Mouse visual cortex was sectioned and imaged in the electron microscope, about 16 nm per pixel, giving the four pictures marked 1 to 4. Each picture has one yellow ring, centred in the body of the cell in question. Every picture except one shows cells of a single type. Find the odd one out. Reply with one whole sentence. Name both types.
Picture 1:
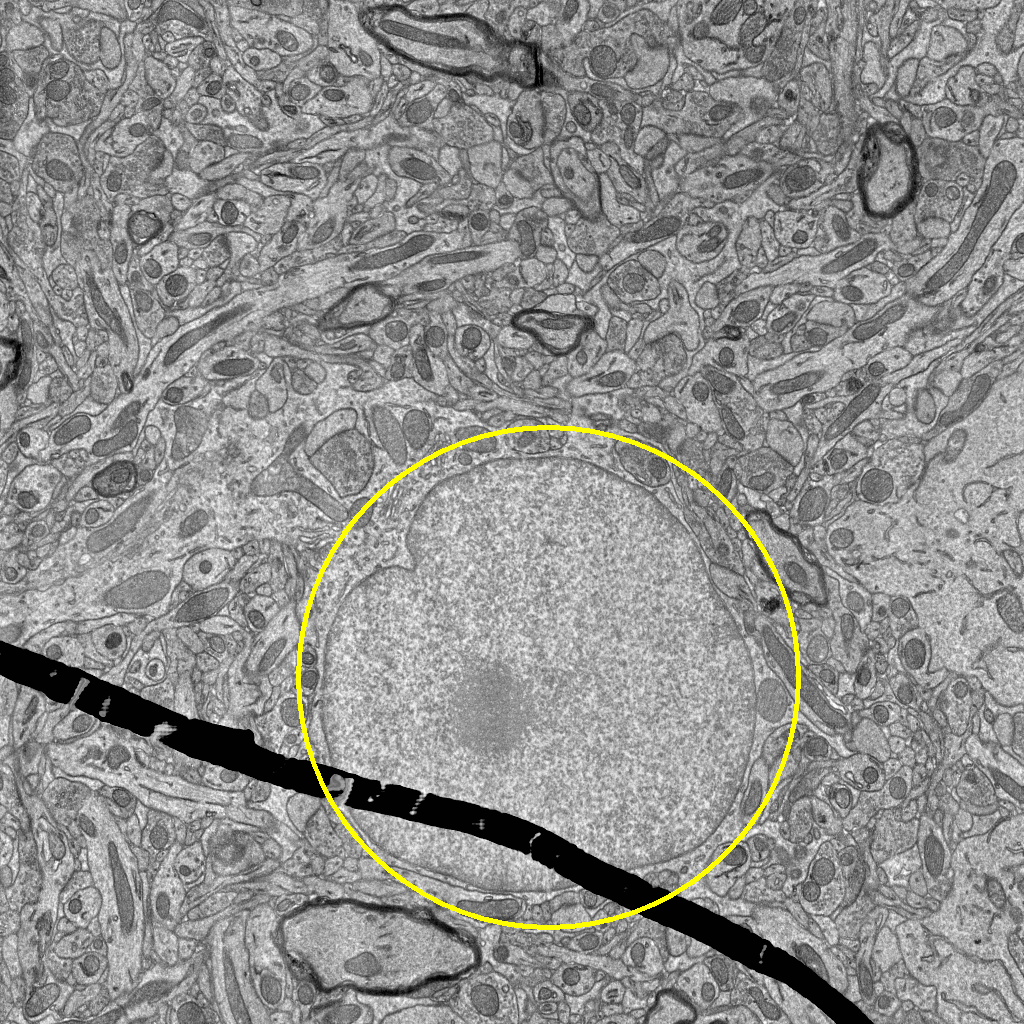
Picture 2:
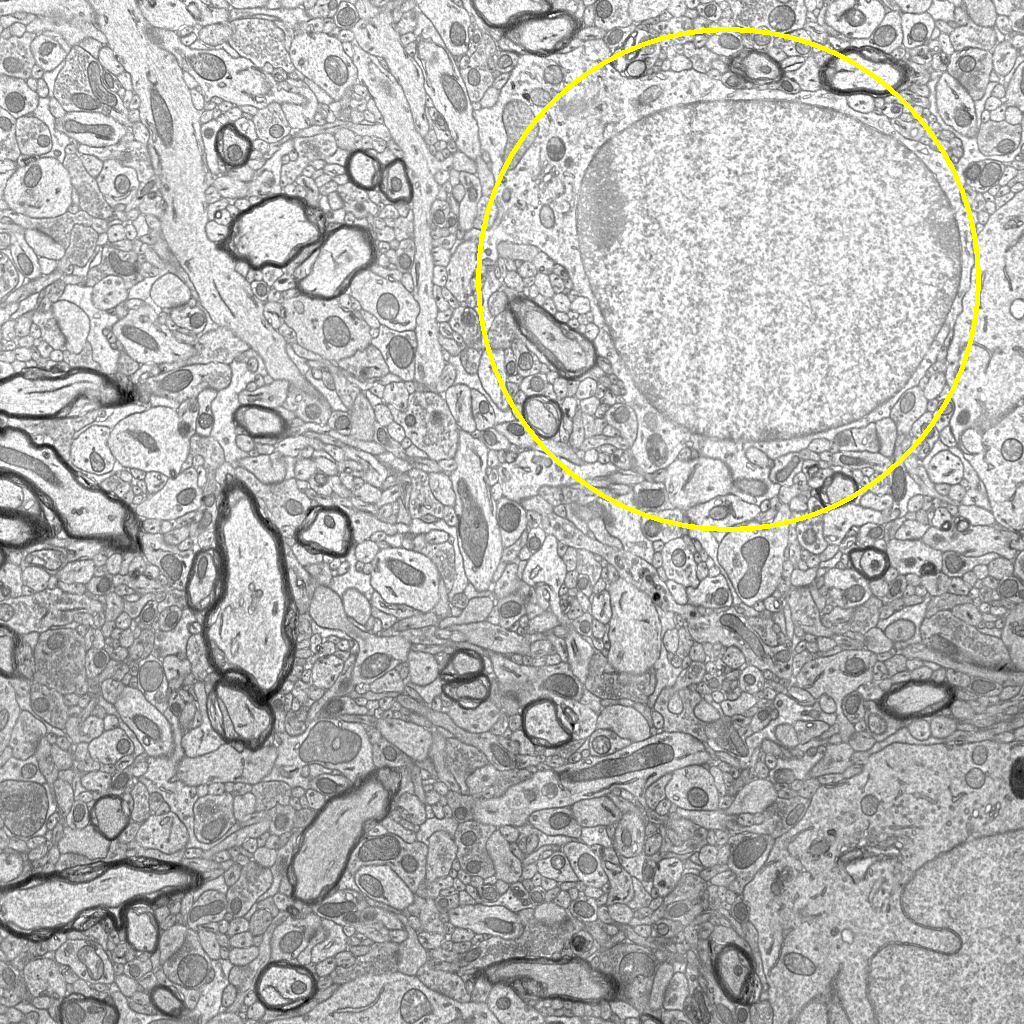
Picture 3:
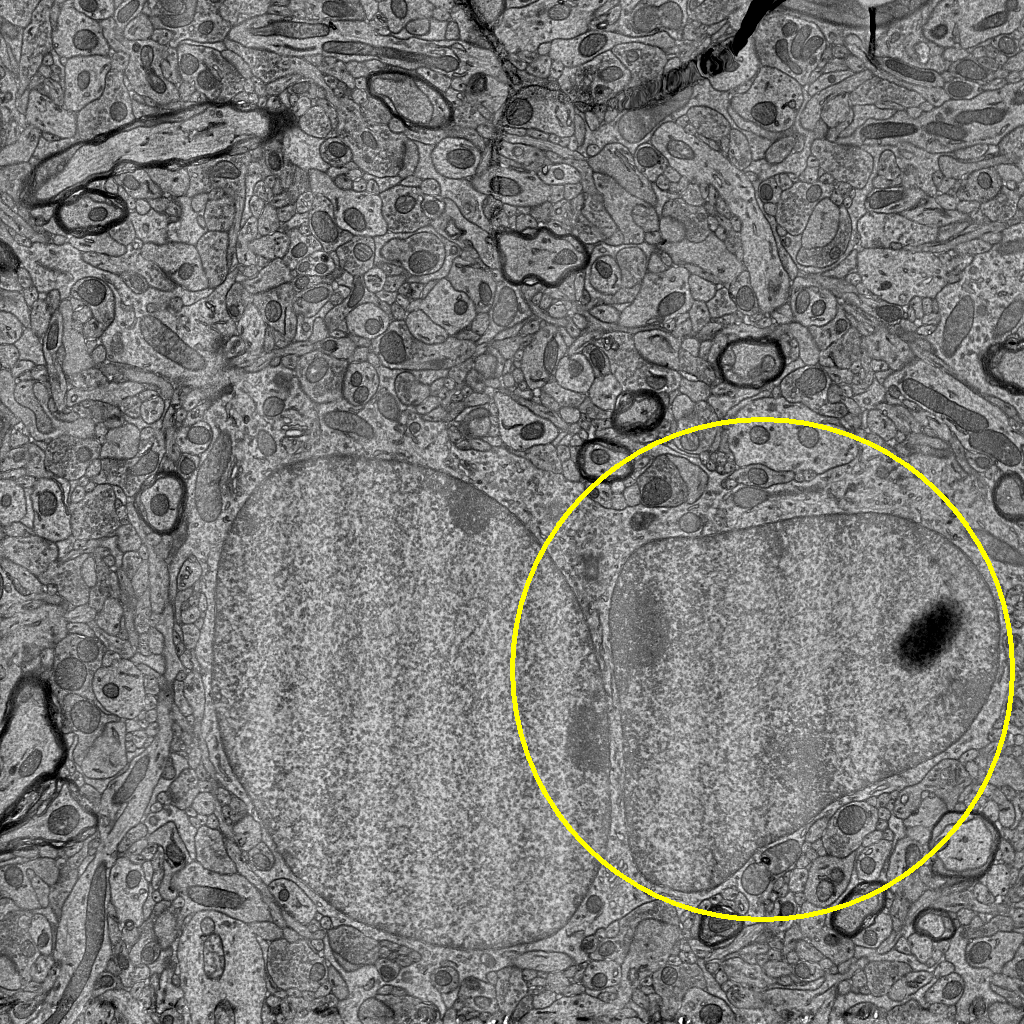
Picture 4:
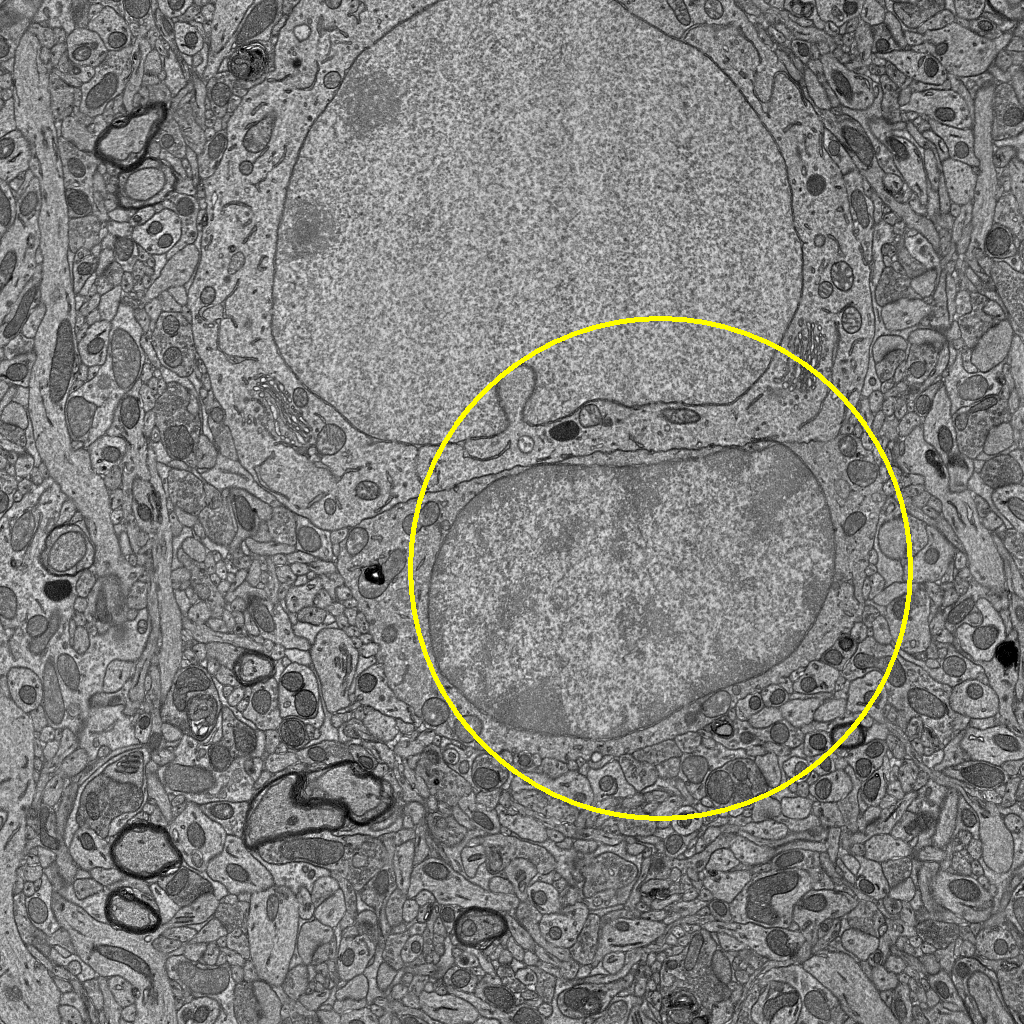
Unlike the rest, which show astrocytes, picture 4 shows an oligodendrocyte.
